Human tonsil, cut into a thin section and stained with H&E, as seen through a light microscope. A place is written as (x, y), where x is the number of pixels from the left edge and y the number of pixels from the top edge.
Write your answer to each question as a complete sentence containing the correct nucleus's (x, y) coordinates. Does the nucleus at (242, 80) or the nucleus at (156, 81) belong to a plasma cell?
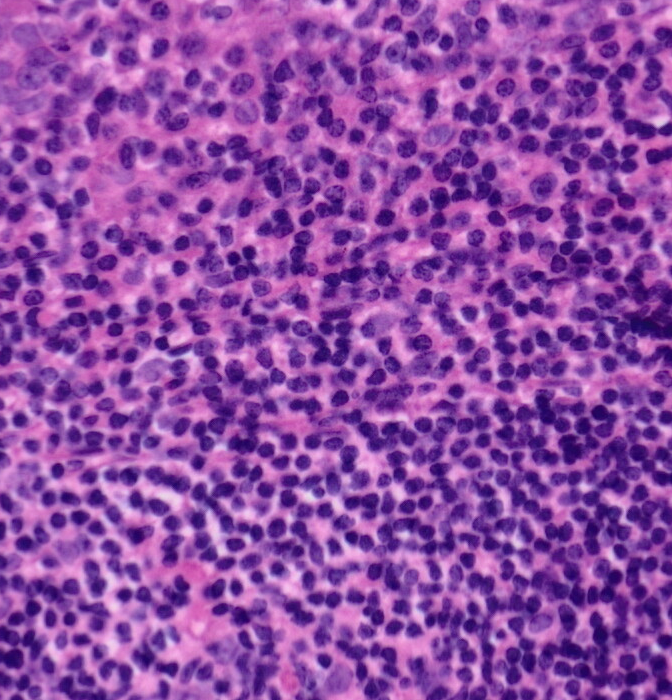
The correct choice is the nucleus at (242, 80), which belongs to a plasma cell.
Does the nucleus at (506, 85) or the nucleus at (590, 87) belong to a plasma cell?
Which one belongs to a plasma cell? The nucleus at (506, 85) does.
